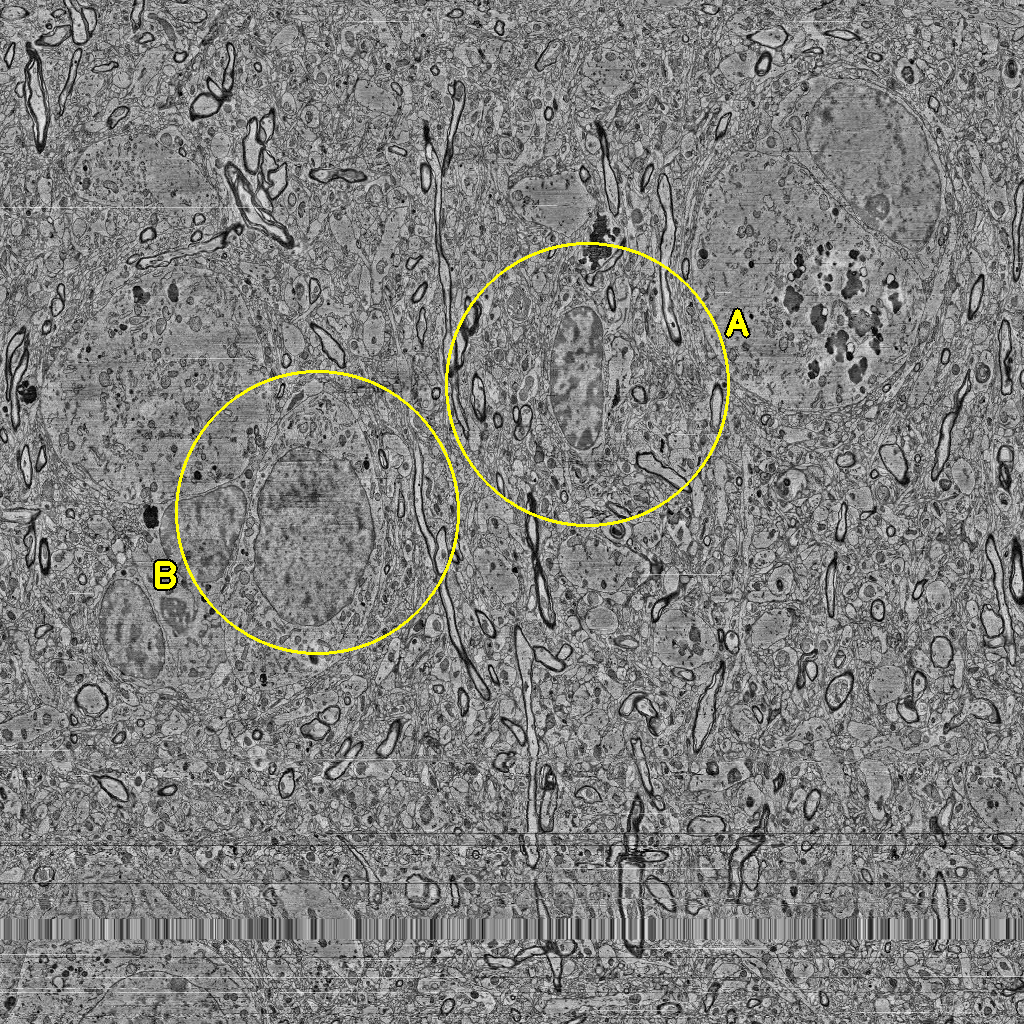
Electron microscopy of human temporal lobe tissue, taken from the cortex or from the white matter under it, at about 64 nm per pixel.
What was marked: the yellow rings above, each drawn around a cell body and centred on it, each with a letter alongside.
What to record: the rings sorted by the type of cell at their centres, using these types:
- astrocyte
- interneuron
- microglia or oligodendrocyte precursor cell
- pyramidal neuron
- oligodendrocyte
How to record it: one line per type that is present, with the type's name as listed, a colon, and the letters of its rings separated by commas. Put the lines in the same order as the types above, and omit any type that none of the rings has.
interneuron: B
microglia or oligodendrocyte precursor cell: A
